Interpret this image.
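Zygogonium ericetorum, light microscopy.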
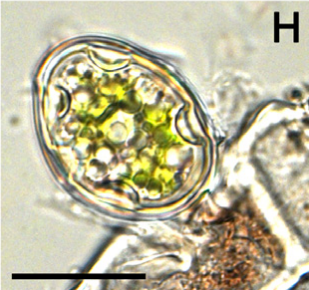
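The contents are green and lobed, interspersed with clear rounded droplets and a central clear body. The spore is wholly enclosed and separate from the neighbouring cell, which holds only brownish granular remains.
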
